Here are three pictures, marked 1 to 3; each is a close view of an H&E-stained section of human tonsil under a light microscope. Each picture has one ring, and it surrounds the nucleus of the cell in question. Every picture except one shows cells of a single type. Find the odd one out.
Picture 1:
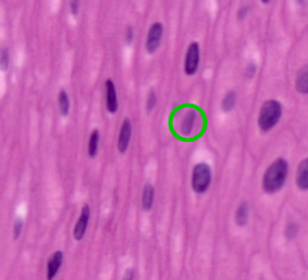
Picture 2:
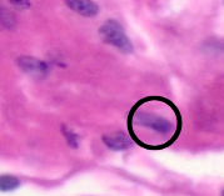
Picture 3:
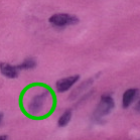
1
